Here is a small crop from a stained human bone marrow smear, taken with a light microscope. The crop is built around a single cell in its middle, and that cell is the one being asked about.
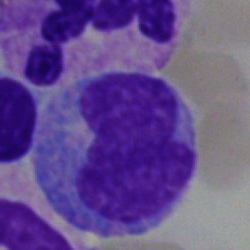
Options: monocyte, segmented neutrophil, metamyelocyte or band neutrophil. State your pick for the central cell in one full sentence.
The target cell in the middle of the crop is a monocyte.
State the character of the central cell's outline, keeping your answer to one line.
Smooth outline, no projections: that is the whole story of its edge.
